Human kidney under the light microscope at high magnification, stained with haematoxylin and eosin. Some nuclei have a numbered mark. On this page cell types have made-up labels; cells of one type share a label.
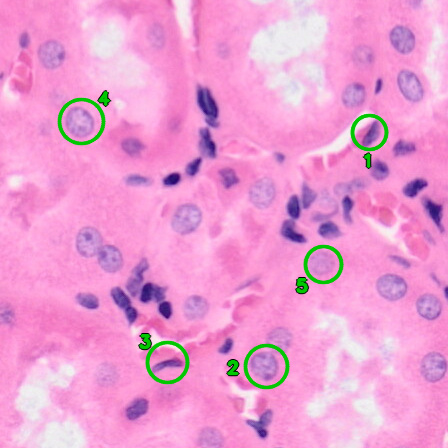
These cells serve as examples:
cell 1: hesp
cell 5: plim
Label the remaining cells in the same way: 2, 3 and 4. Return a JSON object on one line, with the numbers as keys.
{"2": "plim", "3": "hesp", "4": "plim"}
